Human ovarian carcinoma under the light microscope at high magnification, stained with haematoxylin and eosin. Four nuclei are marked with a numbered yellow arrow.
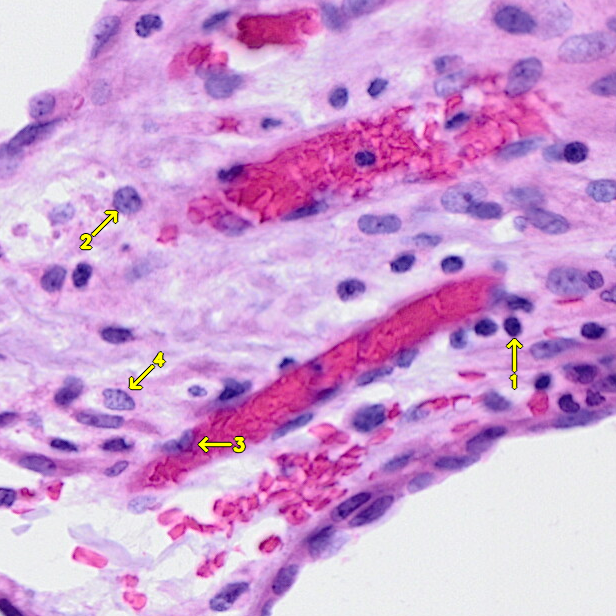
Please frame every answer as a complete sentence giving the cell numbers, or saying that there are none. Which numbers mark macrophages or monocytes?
The cells that have been numbered 2 and 4 are macrophages or monocytes.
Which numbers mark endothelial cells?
Of the cells carrying numbers, just cell 3 is an endothelial cell.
